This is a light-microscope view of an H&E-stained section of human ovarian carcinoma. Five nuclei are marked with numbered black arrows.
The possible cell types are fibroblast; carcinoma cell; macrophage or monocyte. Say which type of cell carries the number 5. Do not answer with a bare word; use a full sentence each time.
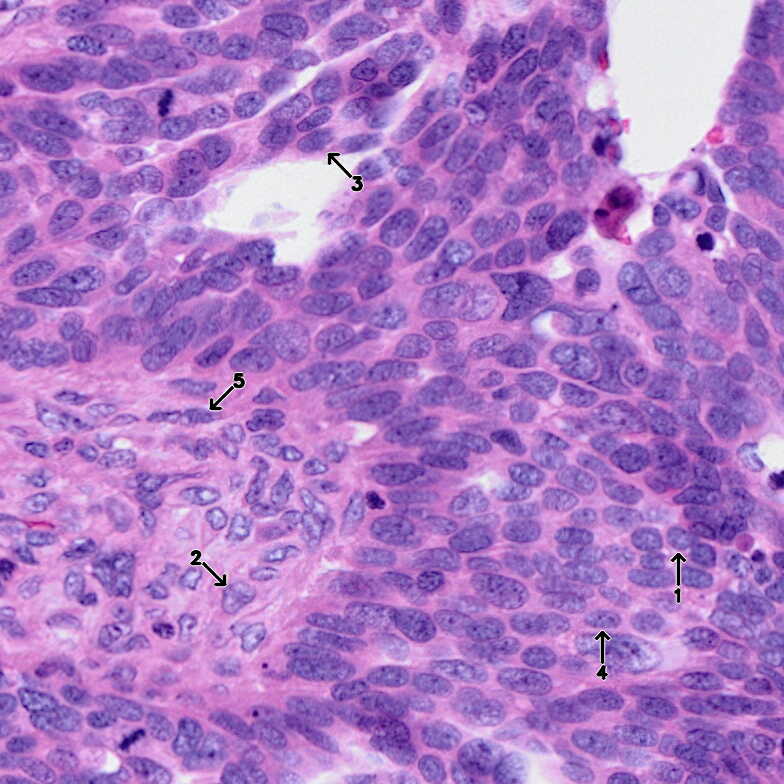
Cell number 5 in this section is a fibroblast.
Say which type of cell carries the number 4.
The cell that is numbered 4 is a carcinoma cell.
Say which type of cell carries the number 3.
What the number 3 marks in this field is a carcinoma cell.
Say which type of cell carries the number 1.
The numeral 1 marks a carcinoma cell in this section.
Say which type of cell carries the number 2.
The identity of cell 2 is that of a fibroblast.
